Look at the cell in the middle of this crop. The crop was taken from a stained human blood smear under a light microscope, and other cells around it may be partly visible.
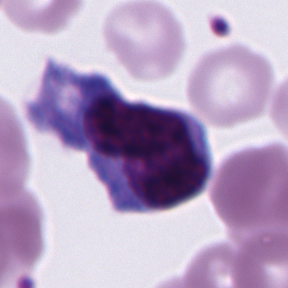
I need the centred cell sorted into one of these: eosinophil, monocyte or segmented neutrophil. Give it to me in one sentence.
The cell of interest, located centrally, is a monocyte.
